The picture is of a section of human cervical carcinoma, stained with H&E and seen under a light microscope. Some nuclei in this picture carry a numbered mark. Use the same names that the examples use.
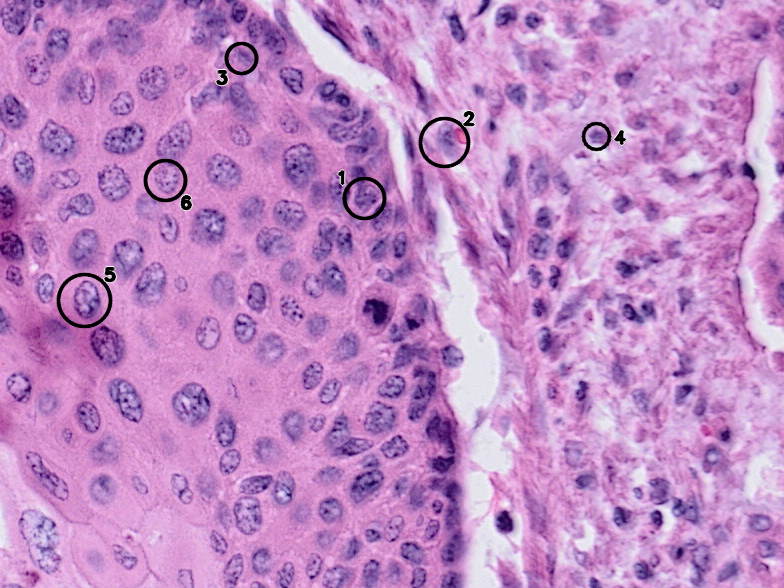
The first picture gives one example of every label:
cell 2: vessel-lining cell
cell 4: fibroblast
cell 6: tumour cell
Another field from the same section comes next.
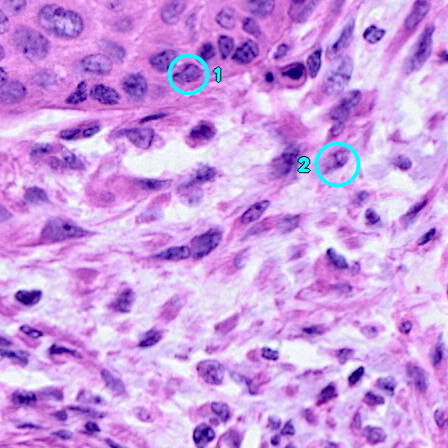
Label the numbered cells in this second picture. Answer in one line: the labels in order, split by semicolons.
tumour cell; fibroblast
